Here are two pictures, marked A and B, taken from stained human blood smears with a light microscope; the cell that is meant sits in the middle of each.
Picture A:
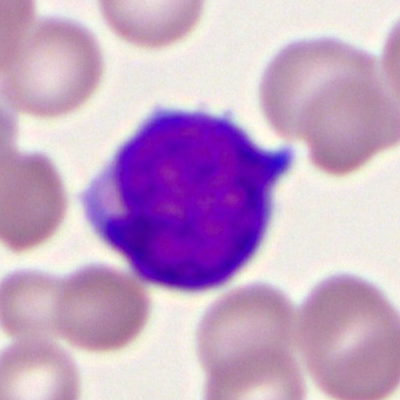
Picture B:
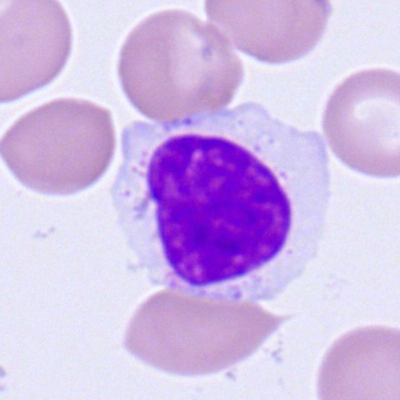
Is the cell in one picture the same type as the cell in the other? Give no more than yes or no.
no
